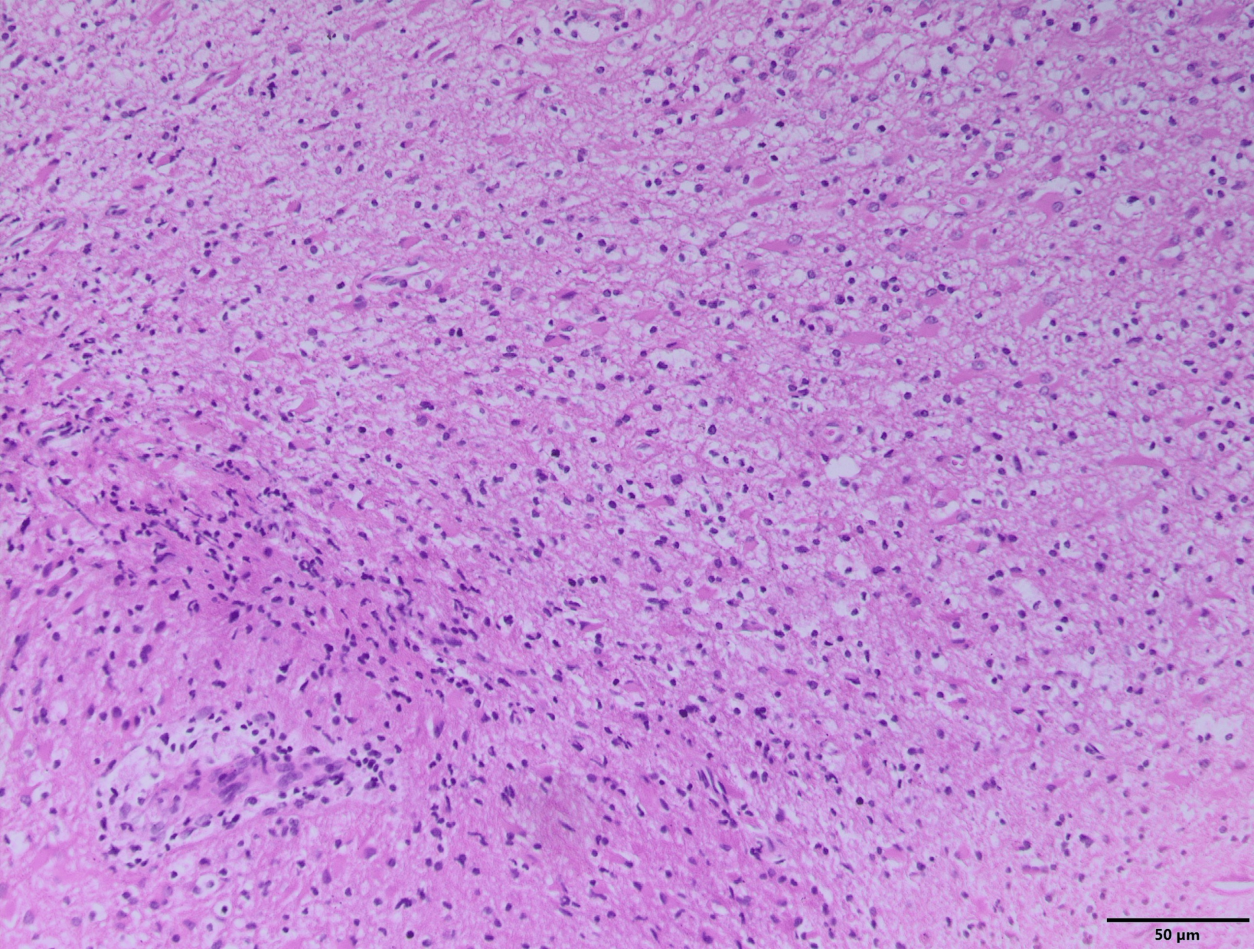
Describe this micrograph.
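This section of a glial tumor shows moderately cellular tissue of fairly uniform glial cells lying scattered in a pale pink fibrillary background. The nuclei are small, dark purple and round to elongated, of similar size, many surrounded by clear halos. Some cells have a little pink cytoplasm drawn out into fine processes. The background is finely fibrillar and partly vacuolated, with fibres streaming in bundles; toward the lower left the cells are denser and more elongated around a vessel.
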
